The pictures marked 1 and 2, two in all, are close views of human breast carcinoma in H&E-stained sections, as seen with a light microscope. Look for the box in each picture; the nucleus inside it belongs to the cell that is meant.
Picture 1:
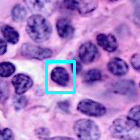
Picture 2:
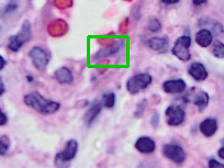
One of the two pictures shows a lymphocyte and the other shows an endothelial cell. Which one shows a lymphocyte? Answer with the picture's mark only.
1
